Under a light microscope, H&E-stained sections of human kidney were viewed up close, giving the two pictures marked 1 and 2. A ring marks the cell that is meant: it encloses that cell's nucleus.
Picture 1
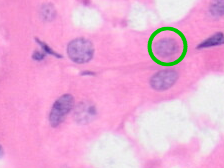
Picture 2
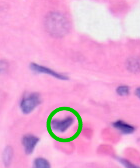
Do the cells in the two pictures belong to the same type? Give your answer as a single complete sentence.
No, picture 1 shows a proximal tubule cell and picture 2 shows an endothelial cell.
